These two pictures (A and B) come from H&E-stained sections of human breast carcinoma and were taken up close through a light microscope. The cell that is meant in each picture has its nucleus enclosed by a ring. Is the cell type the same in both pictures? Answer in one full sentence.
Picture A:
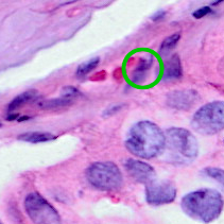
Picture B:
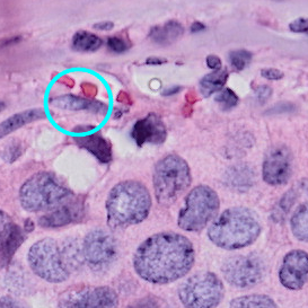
Yes; the cells in both pictures are endothelial cells.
